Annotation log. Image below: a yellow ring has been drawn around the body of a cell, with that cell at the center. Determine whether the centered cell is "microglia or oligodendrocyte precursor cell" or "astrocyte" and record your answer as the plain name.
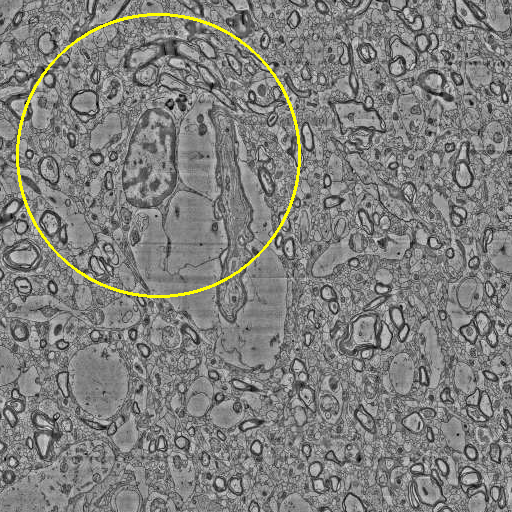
microglia or oligodendrocyte precursor cell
